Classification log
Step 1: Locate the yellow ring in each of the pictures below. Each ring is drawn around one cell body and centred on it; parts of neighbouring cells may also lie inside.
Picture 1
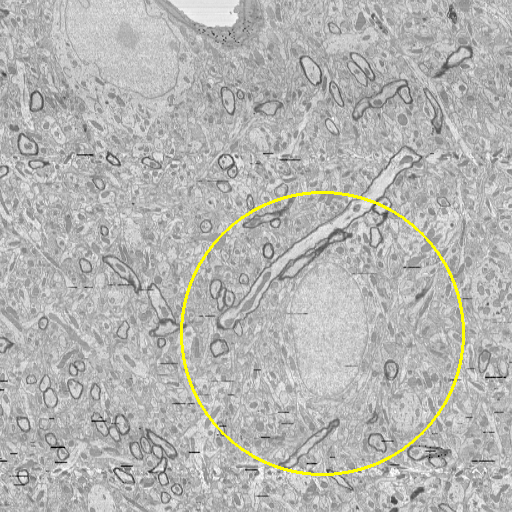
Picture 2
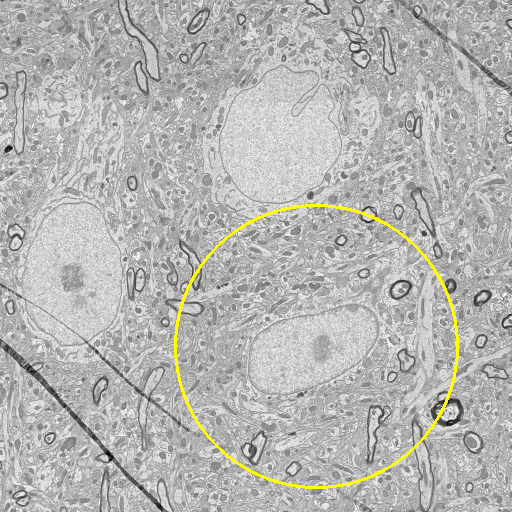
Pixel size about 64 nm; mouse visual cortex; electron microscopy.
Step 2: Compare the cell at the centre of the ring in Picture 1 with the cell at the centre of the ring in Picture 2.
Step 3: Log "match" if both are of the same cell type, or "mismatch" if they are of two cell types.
match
